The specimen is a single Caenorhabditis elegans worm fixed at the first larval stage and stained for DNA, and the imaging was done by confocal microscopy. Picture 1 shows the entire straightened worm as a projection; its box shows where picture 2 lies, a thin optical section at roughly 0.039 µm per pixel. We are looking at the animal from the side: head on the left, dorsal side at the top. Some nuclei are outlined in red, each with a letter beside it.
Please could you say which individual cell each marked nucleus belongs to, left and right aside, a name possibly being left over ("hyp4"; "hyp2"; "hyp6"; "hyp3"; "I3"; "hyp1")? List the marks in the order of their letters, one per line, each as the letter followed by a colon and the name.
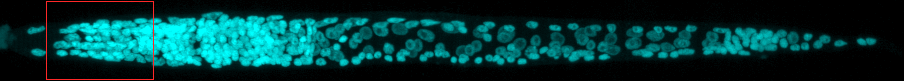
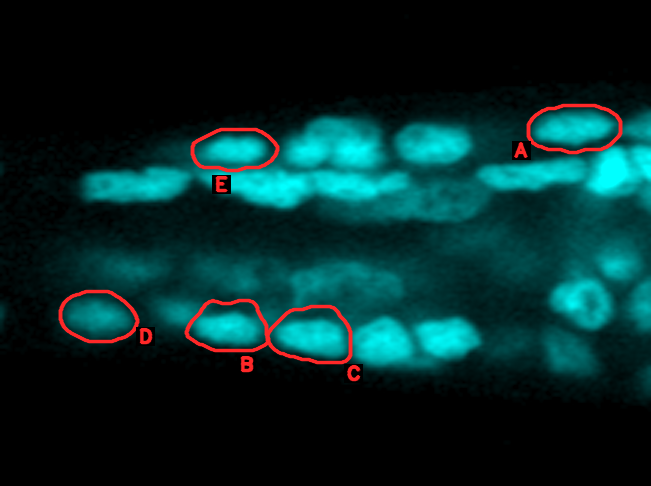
A: hyp6
B: hyp2
C: hyp1
D: hyp4
E: hyp3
